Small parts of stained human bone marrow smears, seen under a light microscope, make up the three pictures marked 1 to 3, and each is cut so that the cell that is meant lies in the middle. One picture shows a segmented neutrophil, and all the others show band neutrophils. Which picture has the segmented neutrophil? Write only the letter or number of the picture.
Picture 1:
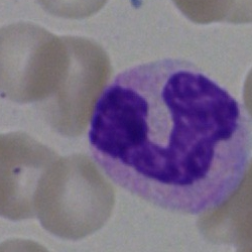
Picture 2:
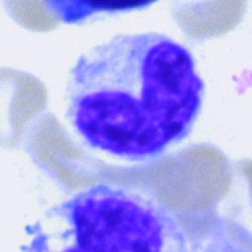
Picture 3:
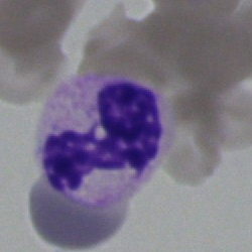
3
